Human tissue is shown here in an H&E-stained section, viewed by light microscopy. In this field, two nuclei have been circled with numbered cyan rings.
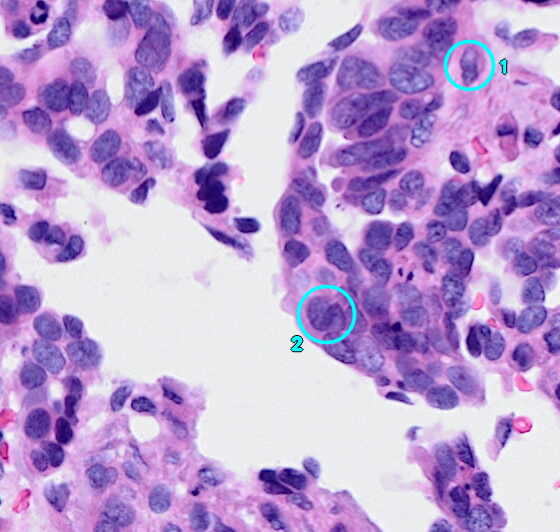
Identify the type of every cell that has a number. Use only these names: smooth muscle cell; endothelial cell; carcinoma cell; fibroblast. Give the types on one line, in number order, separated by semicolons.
fibroblast; carcinoma cell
